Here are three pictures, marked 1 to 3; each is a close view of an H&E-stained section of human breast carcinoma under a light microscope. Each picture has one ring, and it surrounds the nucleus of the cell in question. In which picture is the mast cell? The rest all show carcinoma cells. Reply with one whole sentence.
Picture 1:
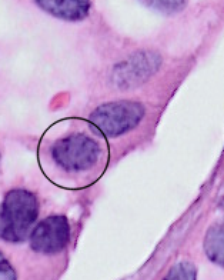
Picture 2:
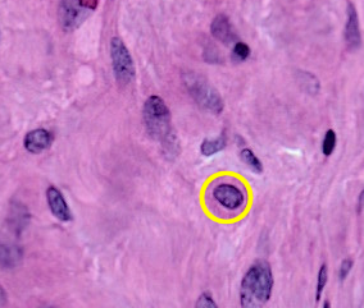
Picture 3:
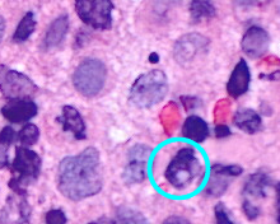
It is picture 2 that shows the mast cell.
